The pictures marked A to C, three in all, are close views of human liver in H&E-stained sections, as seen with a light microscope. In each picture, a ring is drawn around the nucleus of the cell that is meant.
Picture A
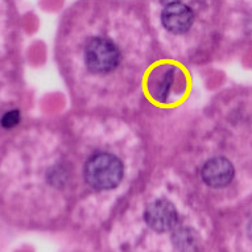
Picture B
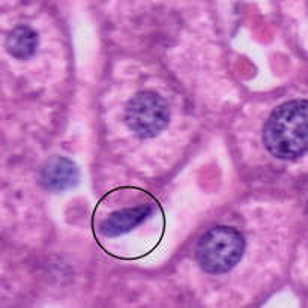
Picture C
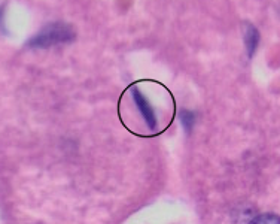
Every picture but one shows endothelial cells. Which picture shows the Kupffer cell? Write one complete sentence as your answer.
Picture B shows the Kupffer cell.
